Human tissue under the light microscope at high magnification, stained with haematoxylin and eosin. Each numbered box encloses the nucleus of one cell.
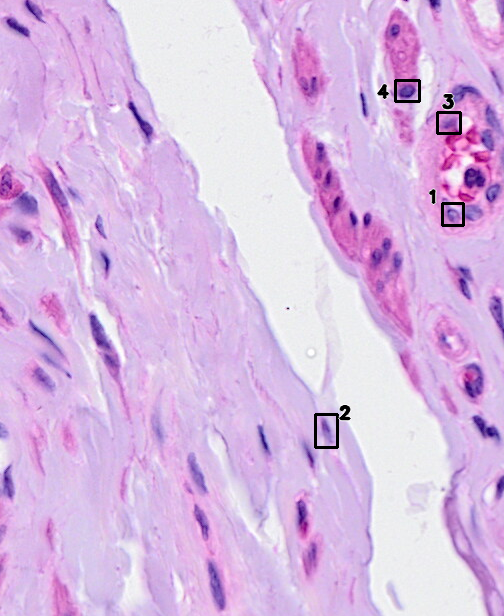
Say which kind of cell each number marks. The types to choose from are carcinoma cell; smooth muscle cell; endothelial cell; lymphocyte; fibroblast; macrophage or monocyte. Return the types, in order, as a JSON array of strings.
["endothelial cell", "fibroblast", "endothelial cell", "smooth muscle cell"]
